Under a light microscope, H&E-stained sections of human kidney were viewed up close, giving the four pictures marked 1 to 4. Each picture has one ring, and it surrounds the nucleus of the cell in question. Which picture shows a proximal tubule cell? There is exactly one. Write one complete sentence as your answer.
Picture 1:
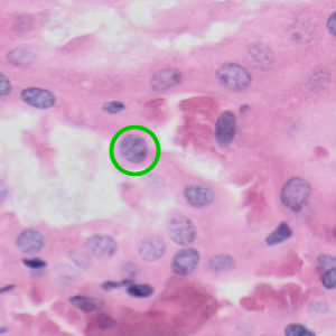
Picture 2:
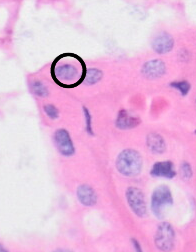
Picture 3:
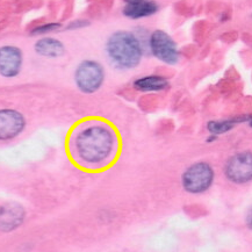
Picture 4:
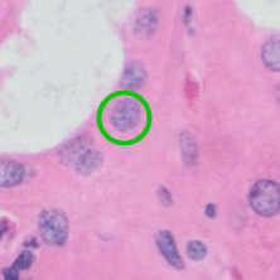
The cell in picture 3 is the proximal tubule cell.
